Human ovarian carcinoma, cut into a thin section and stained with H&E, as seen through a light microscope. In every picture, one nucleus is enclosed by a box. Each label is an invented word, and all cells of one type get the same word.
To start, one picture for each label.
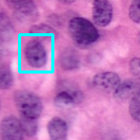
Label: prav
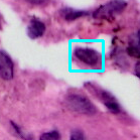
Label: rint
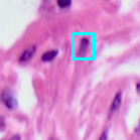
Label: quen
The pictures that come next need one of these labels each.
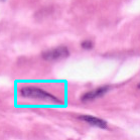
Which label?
quen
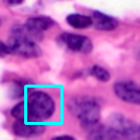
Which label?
rint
